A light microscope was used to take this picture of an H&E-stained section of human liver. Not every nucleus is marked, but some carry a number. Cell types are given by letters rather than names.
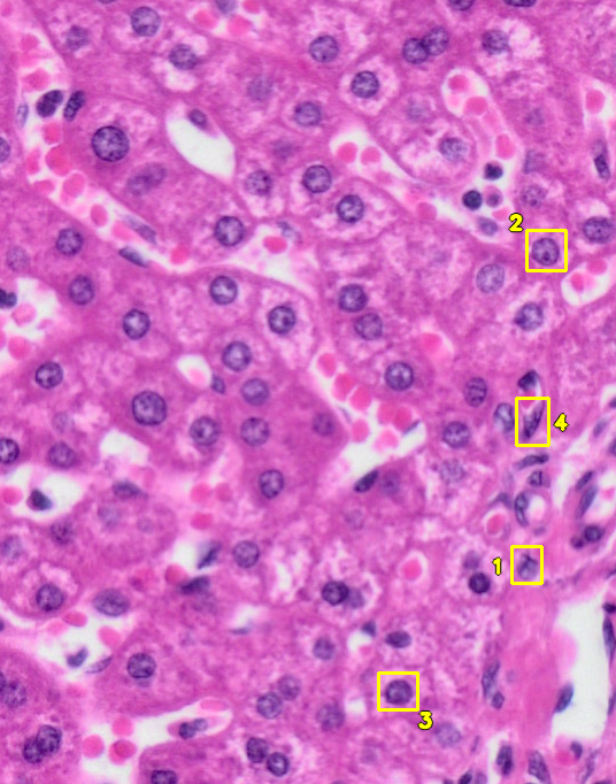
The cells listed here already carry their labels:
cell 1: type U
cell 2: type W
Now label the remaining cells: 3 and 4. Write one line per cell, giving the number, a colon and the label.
3: type W
4: type U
